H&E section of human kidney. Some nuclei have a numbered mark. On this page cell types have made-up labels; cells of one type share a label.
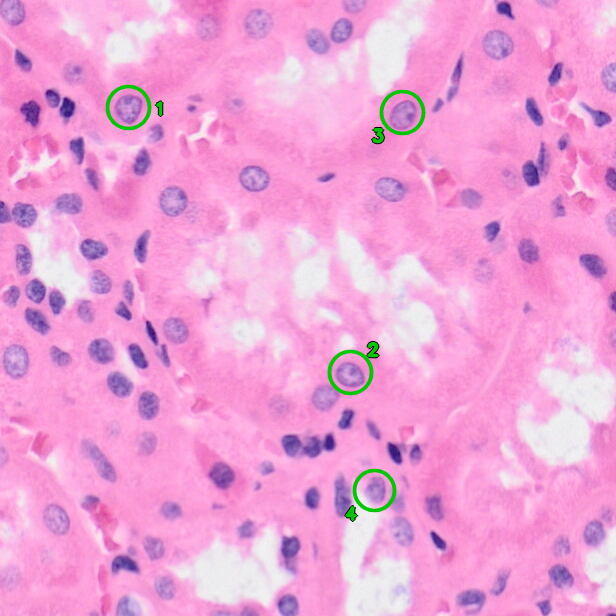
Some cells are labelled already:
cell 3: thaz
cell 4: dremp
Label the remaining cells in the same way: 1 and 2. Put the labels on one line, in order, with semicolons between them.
thaz; thaz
